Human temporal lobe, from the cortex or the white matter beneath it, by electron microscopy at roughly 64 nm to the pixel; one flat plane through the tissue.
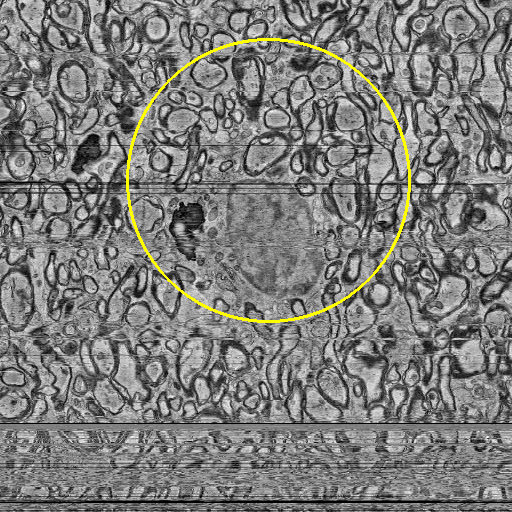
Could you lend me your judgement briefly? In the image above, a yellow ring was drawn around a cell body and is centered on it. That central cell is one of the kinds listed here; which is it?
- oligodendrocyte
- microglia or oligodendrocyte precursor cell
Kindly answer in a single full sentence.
Going by the list, an oligodendrocyte is the kind at the ring's center in the picture.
